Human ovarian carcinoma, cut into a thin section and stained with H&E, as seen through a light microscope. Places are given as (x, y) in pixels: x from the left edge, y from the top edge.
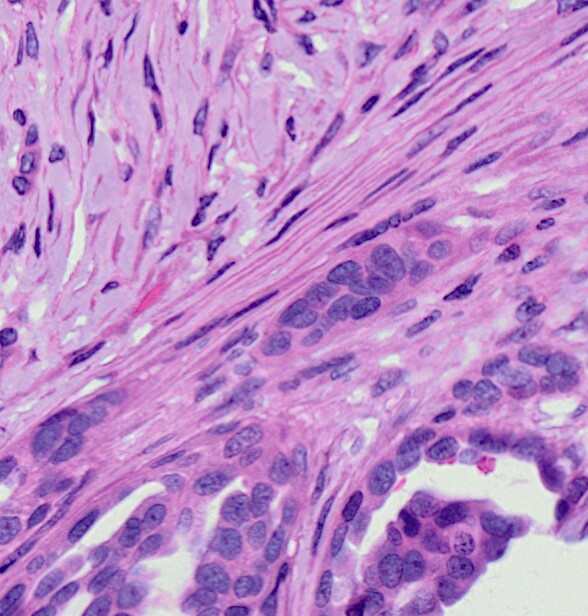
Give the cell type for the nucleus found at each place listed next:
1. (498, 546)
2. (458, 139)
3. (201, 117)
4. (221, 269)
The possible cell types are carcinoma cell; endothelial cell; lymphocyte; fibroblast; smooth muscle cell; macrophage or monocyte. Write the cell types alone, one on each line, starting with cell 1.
carcinoma cell
fibroblast
fibroblast
fibroblast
